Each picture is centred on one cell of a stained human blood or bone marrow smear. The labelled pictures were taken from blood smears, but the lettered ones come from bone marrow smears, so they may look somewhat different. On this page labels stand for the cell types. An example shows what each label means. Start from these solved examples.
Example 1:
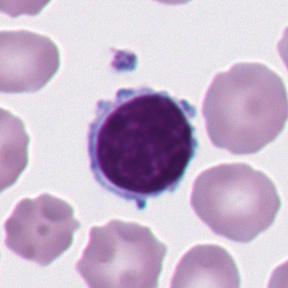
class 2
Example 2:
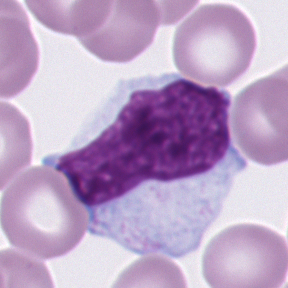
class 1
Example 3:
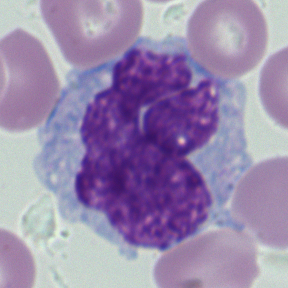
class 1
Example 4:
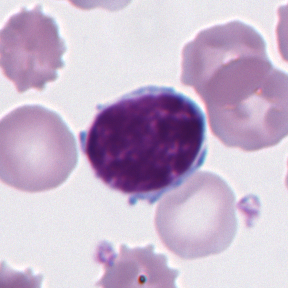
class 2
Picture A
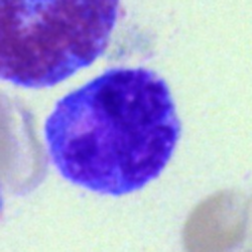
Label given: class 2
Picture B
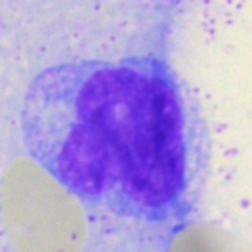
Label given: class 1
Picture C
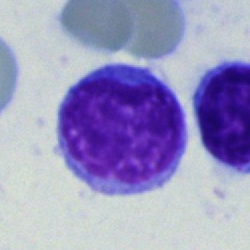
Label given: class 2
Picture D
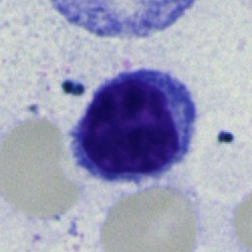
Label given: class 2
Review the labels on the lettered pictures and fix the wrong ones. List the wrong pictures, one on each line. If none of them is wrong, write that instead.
A is labelled class 2; correct label: class 1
